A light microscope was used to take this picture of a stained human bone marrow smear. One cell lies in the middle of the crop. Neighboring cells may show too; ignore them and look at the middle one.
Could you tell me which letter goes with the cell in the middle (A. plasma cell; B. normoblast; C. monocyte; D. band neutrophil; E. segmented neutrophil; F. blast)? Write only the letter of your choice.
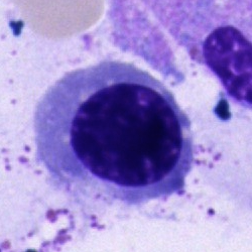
B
